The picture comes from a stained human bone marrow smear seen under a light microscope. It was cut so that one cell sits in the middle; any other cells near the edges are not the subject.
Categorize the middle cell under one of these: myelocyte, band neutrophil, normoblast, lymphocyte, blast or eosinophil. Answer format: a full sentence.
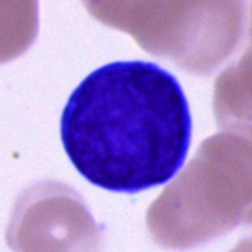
Centrally within this crop lies a blast.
